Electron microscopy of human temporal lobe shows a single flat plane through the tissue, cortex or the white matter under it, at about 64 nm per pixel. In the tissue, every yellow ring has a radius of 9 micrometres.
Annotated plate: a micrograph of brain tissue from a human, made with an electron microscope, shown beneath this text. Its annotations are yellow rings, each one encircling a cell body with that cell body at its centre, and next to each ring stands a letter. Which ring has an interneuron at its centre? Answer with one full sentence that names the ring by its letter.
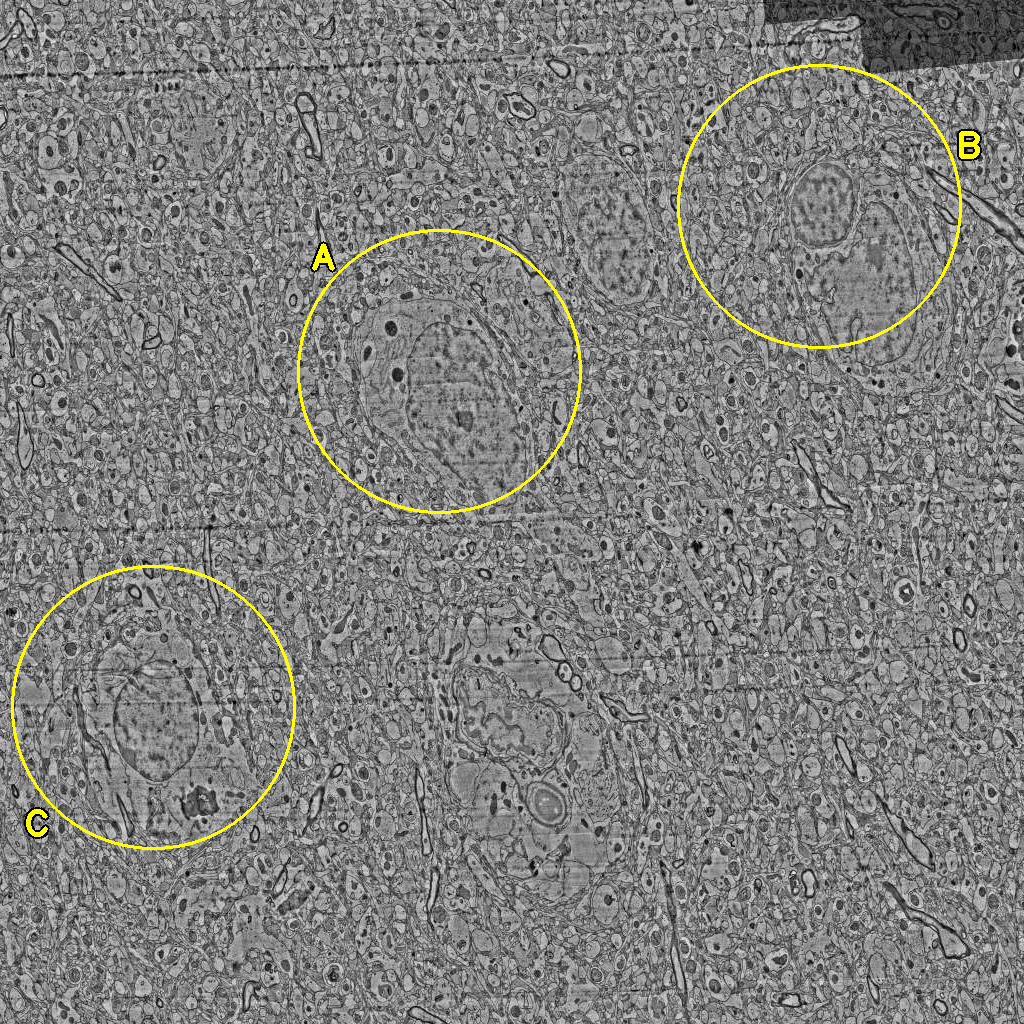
In the plate, ring A is the one centred on a cell of that kind.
